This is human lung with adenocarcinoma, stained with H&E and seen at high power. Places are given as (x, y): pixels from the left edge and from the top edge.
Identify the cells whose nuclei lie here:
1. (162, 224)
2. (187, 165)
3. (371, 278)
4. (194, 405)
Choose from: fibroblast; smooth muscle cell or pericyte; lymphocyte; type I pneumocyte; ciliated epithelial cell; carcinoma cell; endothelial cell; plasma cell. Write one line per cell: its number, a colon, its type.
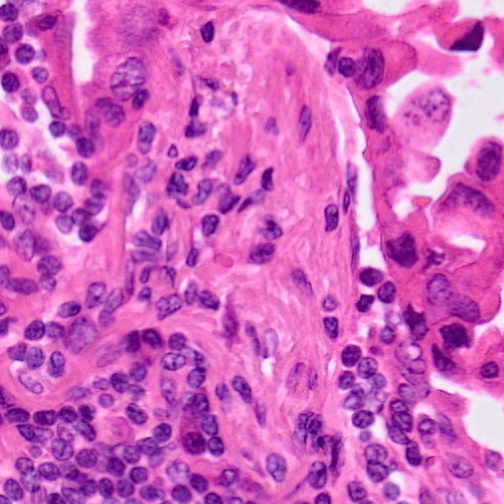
1: lymphocyte
2: lymphocyte
3: lymphocyte
4: plasma cell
